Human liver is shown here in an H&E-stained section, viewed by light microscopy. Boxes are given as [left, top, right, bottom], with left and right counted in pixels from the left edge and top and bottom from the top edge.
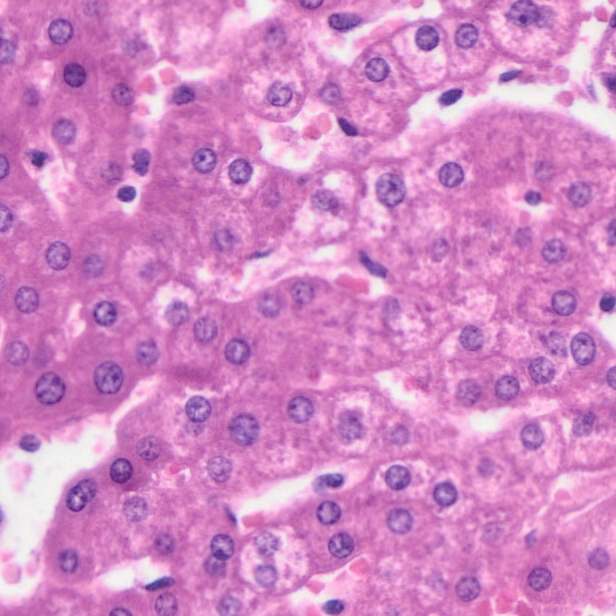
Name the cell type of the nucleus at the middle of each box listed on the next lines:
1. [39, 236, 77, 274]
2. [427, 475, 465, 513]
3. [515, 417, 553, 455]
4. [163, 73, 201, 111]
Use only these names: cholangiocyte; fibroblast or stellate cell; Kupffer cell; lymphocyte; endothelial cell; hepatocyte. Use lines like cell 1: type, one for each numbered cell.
cell 1: hepatocyte
cell 2: hepatocyte
cell 3: hepatocyte
cell 4: Kupffer cell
